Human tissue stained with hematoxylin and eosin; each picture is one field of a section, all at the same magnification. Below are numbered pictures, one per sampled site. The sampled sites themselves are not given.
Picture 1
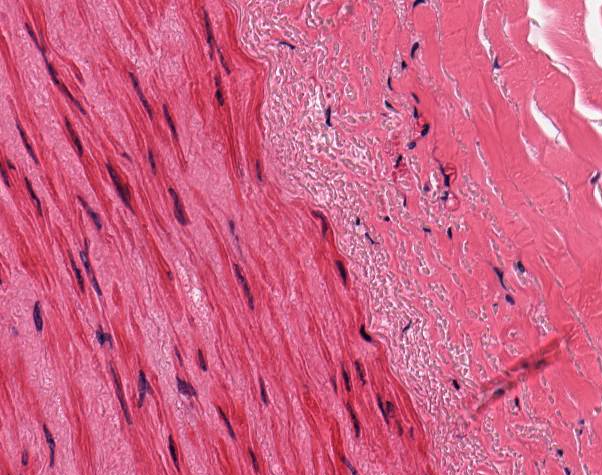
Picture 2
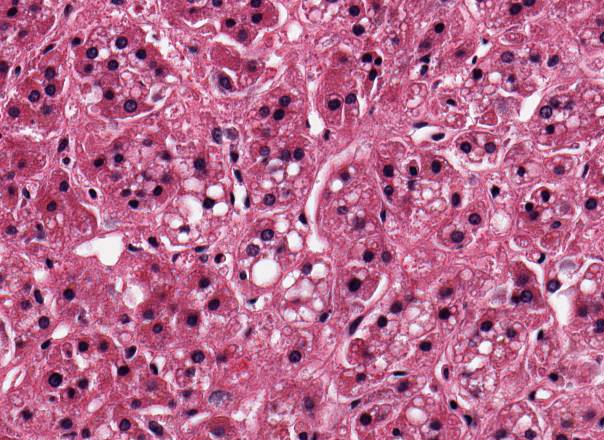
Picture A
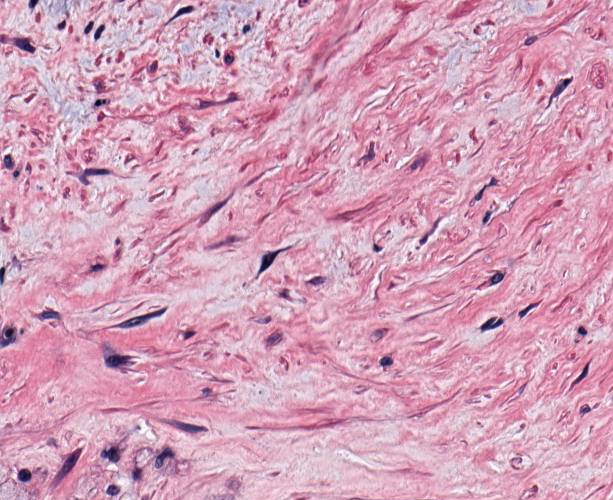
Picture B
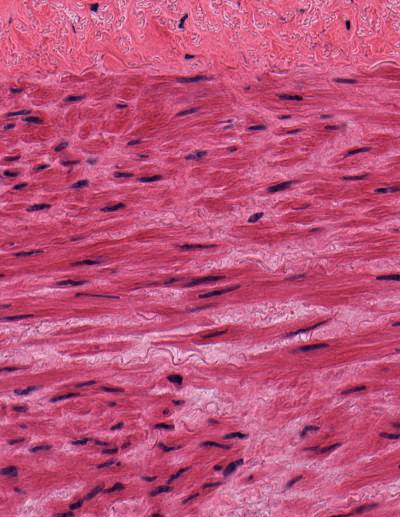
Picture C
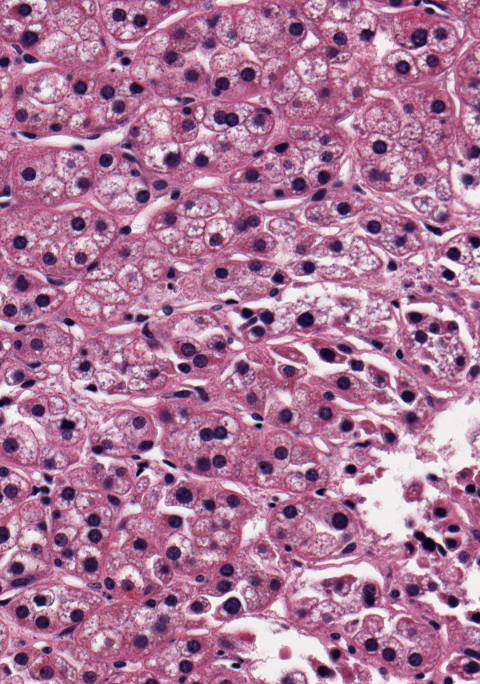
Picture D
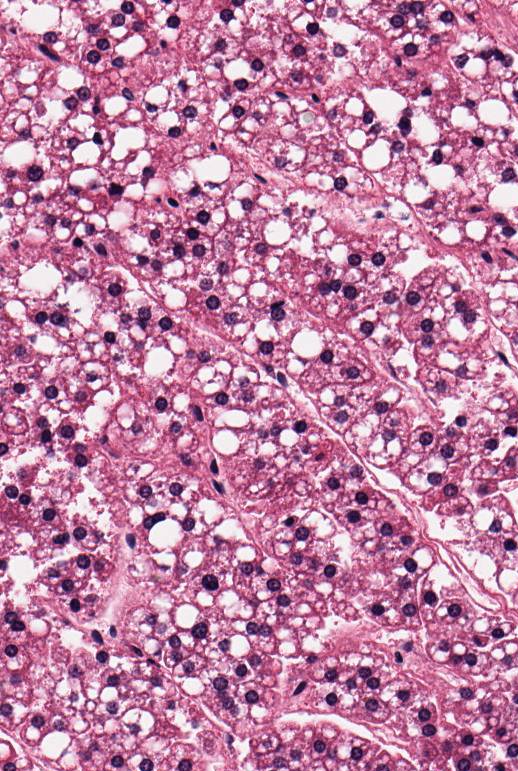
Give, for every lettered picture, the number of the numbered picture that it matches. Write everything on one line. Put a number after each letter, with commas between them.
A 1, B 1, C 2, D 2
